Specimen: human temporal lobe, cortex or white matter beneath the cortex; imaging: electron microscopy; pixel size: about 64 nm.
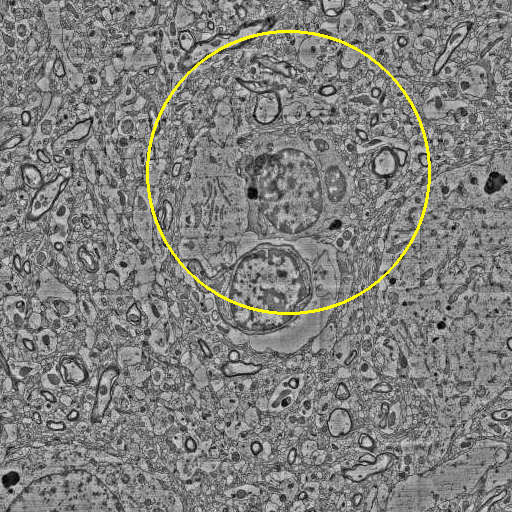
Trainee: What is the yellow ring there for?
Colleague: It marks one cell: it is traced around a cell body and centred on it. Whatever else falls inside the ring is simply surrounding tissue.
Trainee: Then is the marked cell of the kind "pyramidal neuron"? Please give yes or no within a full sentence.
No, the marked cell at the centre of the yellow ring is of a different kind.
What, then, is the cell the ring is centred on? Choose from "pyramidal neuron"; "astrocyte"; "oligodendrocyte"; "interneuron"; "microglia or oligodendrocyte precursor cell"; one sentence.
It is an oligodendrocyte at the centre of the ring.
